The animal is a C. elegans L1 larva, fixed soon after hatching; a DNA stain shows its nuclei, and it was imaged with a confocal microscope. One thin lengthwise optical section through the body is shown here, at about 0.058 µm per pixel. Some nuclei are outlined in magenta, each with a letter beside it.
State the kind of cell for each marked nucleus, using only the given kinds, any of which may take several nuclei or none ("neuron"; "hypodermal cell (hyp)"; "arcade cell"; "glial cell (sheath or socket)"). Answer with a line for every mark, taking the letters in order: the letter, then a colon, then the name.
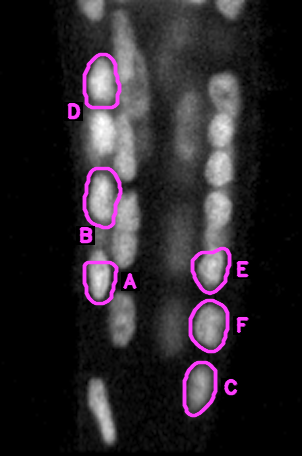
A: hypodermal cell (hyp)
B: arcade cell
C: hypodermal cell (hyp)
D: glial cell (sheath or socket)
E: arcade cell
F: hypodermal cell (hyp)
